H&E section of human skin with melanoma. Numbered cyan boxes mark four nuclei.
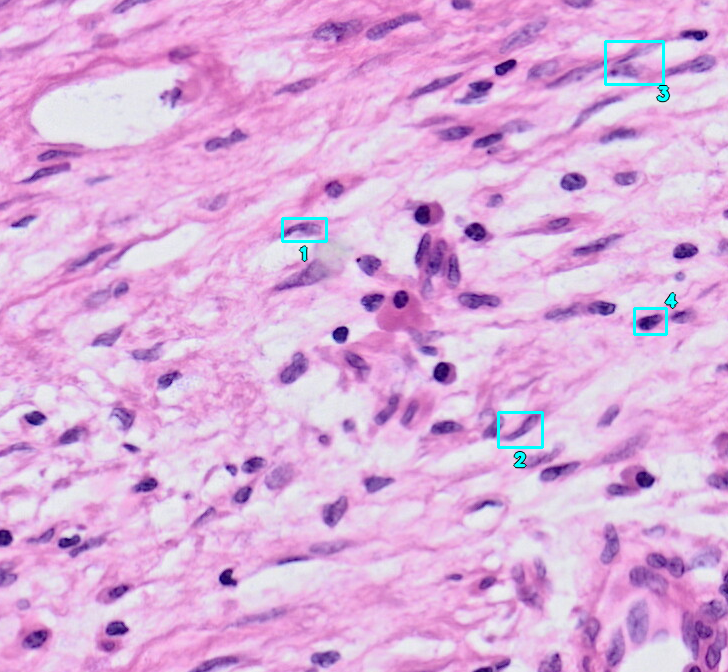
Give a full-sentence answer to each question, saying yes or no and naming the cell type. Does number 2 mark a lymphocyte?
No, the cell tagged 2 is a fibroblast or myofibroblast, and not a lymphocyte.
